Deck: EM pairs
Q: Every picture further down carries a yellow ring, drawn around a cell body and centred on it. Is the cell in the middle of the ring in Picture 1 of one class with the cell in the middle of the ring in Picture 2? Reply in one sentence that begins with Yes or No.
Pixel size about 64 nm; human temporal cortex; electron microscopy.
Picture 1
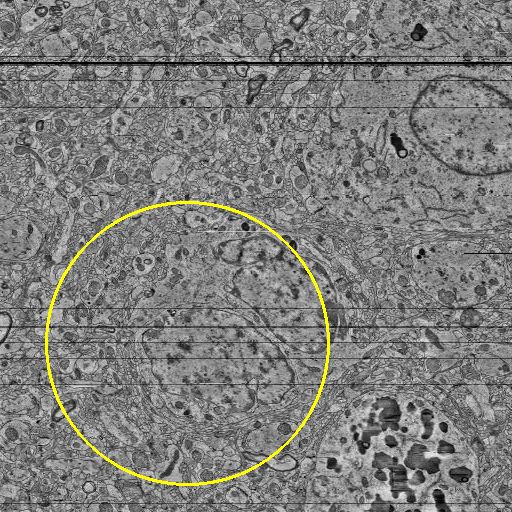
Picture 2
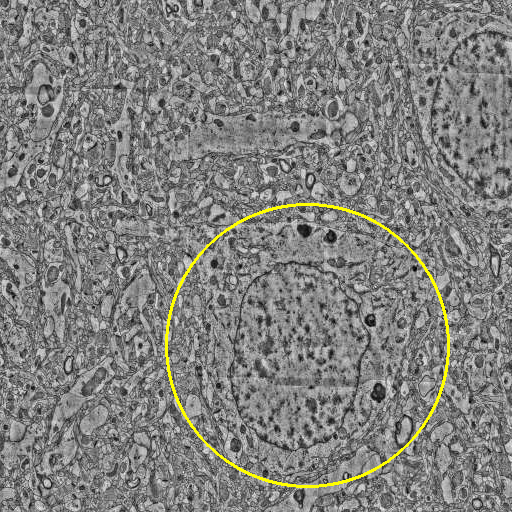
No, the cell centred in the ring of Picture 1 and the one in Picture 2 belong to separate classes.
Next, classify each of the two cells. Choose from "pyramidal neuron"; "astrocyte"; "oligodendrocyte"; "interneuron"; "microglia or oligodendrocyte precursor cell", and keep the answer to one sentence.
In the first picture it is an interneuron; in the second it is a pyramidal neuron.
